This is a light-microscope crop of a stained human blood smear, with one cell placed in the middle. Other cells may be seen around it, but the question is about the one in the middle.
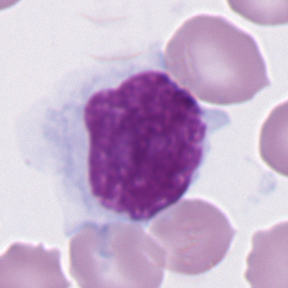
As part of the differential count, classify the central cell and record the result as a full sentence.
The cell at the middle of the crop is recognized as a hairy cell.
